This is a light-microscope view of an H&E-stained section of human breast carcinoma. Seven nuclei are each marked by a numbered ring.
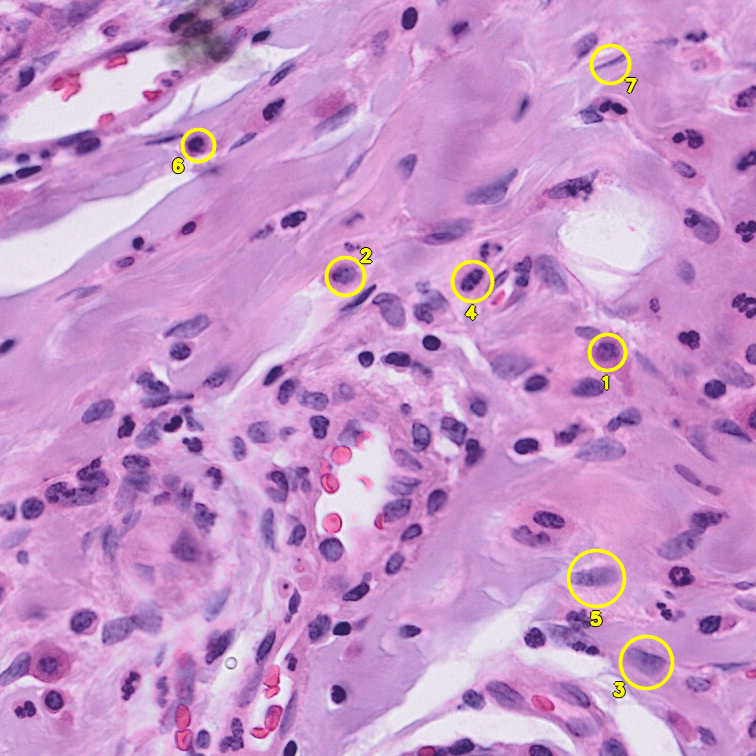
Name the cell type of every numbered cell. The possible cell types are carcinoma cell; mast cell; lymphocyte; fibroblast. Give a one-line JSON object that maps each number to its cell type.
{"1": "mast cell", "2": "mast cell", "3": "fibroblast", "4": "mast cell", "5": "fibroblast", "6": "mast cell", "7": "fibroblast"}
